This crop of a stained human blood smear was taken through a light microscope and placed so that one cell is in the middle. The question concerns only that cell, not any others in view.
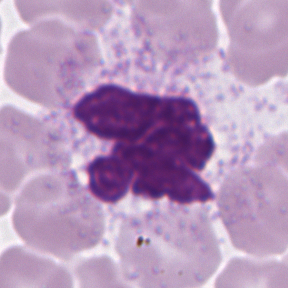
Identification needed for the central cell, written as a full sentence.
Here the centrally located cell is a segmented neutrophil.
